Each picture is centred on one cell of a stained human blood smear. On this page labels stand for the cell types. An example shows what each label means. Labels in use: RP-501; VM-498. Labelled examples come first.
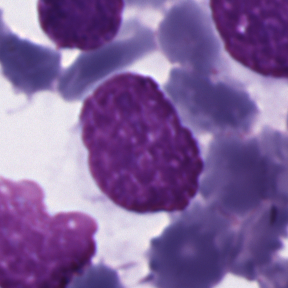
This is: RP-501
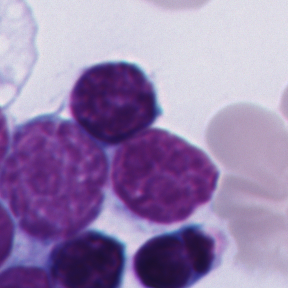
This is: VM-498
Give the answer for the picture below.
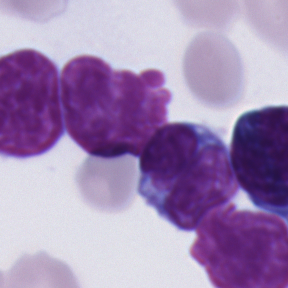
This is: VM-498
